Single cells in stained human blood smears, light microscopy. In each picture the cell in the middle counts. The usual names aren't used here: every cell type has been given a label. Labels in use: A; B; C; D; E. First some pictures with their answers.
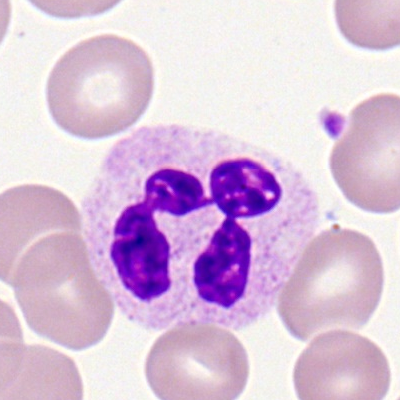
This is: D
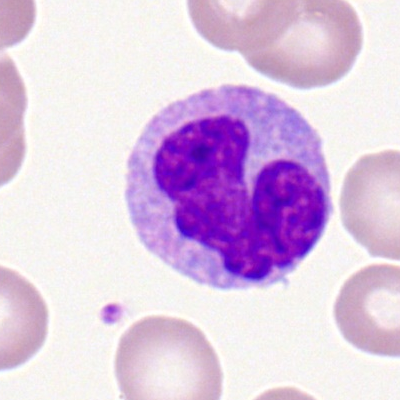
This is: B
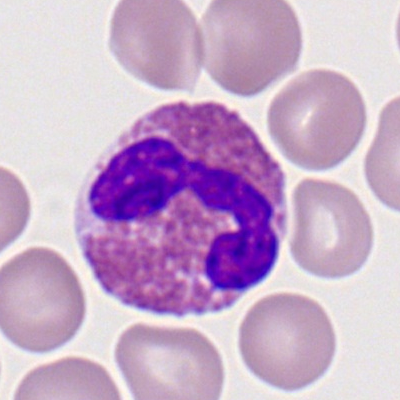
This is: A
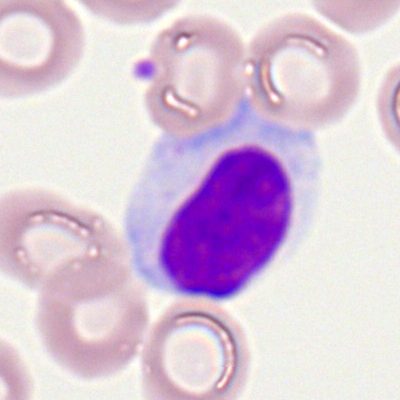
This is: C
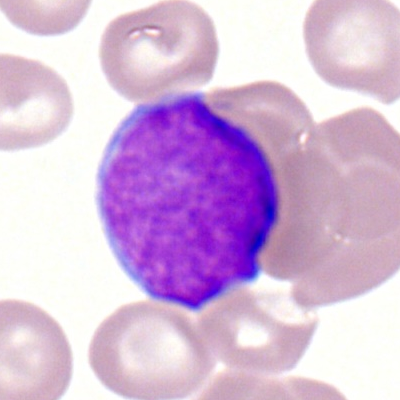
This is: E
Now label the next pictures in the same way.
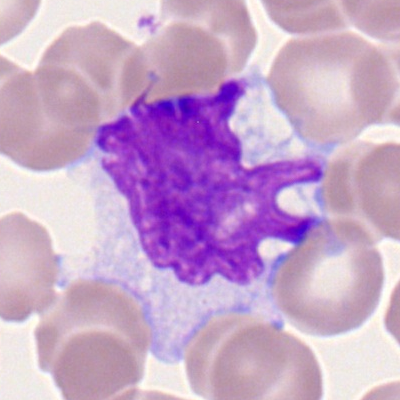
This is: B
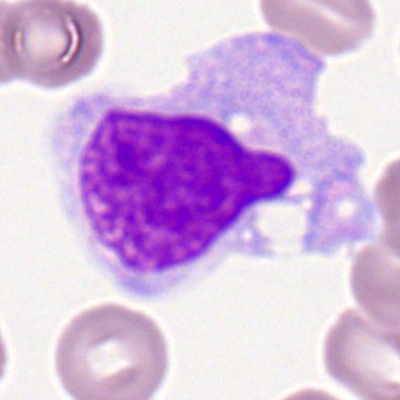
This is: B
